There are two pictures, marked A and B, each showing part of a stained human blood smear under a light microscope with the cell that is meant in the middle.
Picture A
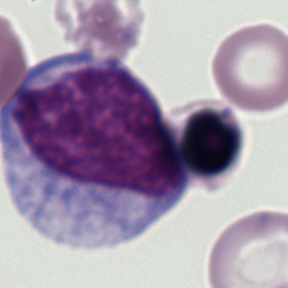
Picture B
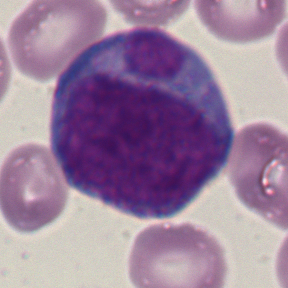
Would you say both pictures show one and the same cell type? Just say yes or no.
yes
